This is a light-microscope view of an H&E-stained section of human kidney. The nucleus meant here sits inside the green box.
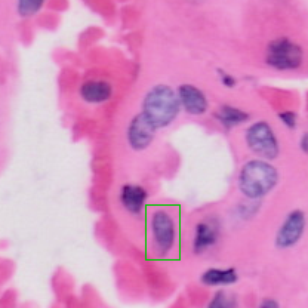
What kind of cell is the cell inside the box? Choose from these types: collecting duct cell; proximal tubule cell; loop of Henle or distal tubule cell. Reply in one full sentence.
In terms of identity, the cell inside the box is a collecting duct cell.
